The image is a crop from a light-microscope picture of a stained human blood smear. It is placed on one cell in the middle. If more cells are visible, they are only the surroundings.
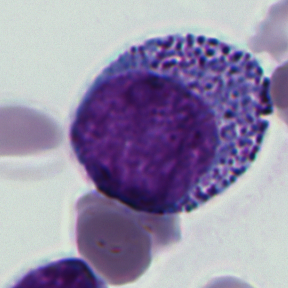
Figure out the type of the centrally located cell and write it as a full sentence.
In the centre of this crop there is a promyelocyte.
